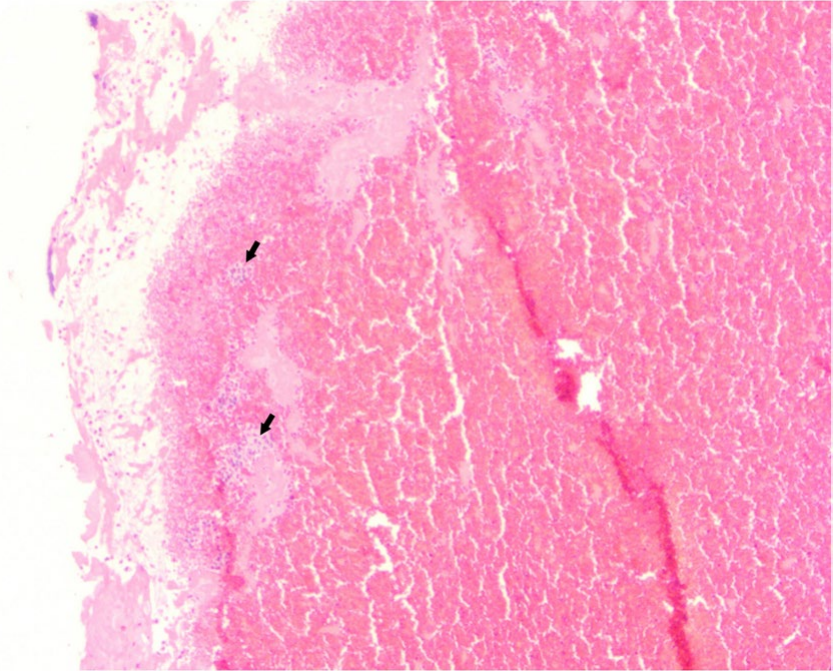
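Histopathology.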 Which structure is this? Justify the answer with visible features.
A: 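A large compact mass of packed red cells fills most of the field. Paler pink amorphous bands run through and along the mass. Scattered purple nuclei lie in a band near the left edge.
Answer: thrombus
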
